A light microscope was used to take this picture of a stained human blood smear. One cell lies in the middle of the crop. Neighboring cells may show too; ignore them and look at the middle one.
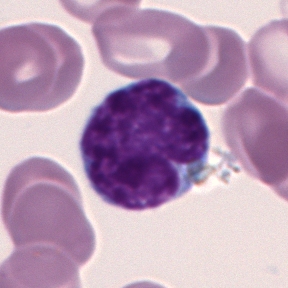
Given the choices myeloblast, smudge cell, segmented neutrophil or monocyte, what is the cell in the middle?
myeloblast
